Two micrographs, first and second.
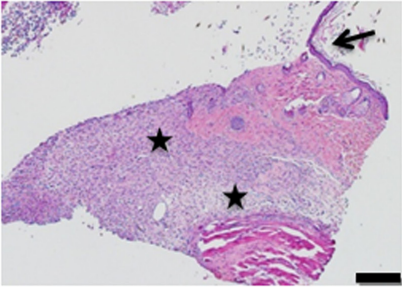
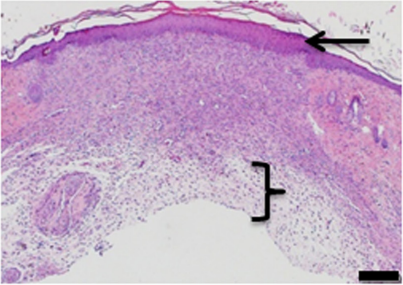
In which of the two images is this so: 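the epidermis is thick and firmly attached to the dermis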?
the second image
